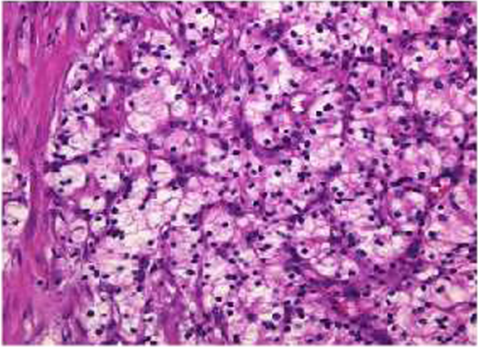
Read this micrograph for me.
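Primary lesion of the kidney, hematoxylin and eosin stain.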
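Tumor cells with abundant clear cytoplasm fill the field, arranged in nests and alveolar groups separated by a delicate network of thin pink septa. Their cytoplasm is pale and nearly empty, with distinct cell borders, and their nuclei are small, round and darkly stained. A band of pink fibrous tissue borders the tumor at one edge.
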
